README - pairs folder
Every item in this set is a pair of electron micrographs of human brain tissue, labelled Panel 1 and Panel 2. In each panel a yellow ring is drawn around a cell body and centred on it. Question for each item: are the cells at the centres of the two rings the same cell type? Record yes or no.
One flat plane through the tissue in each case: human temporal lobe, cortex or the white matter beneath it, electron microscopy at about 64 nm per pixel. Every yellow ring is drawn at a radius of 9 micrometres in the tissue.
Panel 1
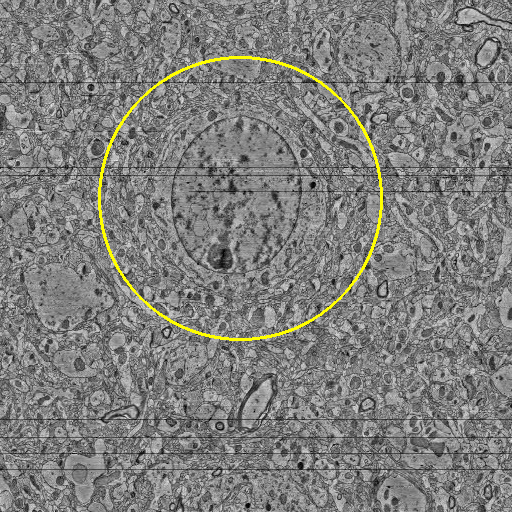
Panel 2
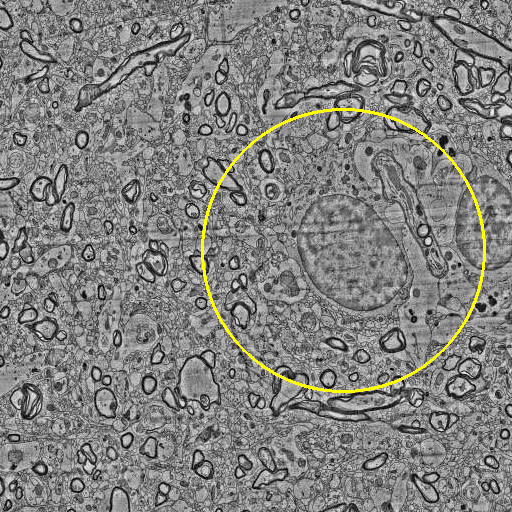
no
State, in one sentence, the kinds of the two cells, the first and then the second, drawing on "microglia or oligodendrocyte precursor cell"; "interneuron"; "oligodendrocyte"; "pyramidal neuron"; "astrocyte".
The ring in the second picture is centred on an oligodendrocyte, the ring in the first on a pyramidal neuron.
